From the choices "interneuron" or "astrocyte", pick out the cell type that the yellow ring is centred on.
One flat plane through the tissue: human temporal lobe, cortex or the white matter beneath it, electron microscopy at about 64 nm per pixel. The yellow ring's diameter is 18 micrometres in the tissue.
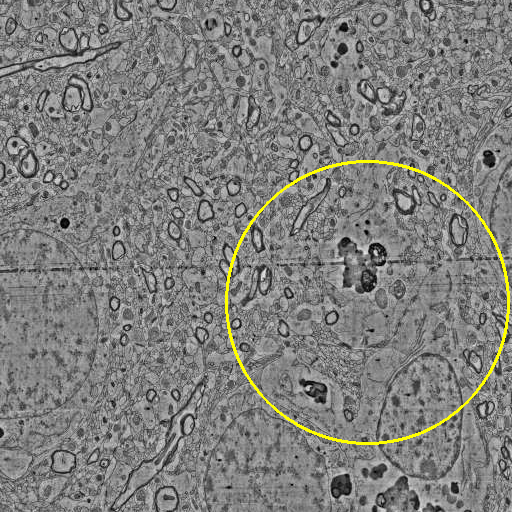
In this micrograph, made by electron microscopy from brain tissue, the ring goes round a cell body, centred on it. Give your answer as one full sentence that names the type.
The yellow ring is centred on an astrocyte, whose cell body it encircles in the picture.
